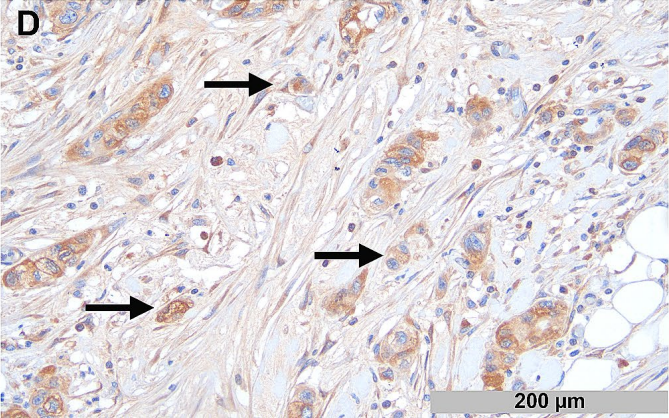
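The brown cells are large, with abundant cytoplasm stained brown and round to oval blue nuclei. They lie singly or in small strands and groups amid pale fibrous tissue with thin elongated blue nuclei. A few large round empty spaces of fat lie at the lower right edge. The stroma itself stains only faintly.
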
